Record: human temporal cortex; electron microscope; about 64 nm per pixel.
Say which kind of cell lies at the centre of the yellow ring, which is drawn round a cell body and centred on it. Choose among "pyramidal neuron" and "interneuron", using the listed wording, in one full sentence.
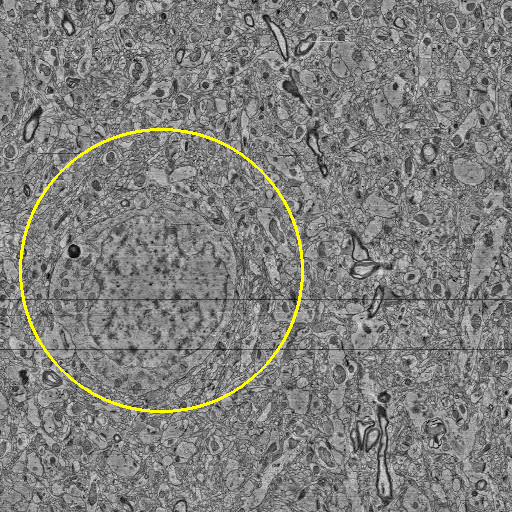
Going by the list, the cell at the yellow ring's centre is an interneuron.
